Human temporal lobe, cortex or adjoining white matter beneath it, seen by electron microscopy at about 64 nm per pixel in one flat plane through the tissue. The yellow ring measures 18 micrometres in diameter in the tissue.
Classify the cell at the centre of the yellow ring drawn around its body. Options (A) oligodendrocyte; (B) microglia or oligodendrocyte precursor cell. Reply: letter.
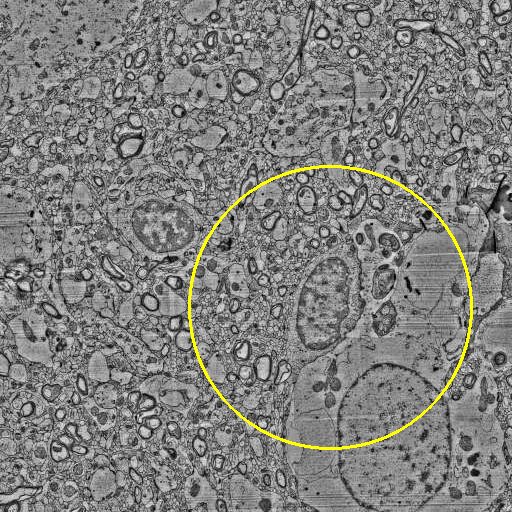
A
